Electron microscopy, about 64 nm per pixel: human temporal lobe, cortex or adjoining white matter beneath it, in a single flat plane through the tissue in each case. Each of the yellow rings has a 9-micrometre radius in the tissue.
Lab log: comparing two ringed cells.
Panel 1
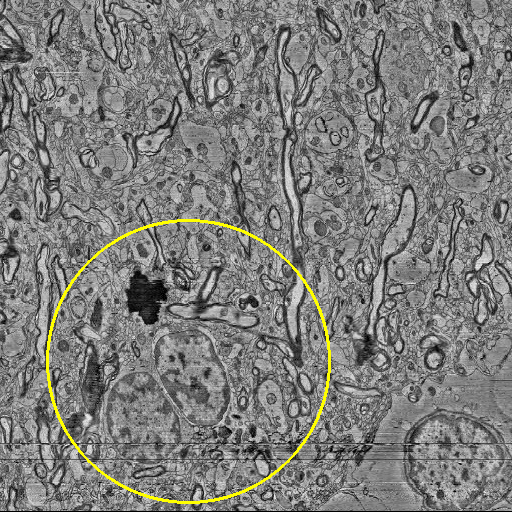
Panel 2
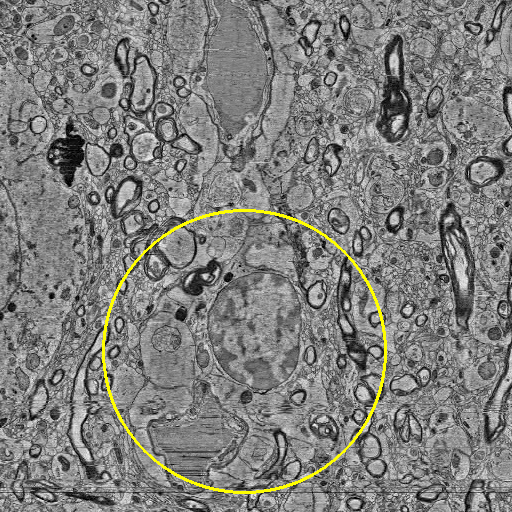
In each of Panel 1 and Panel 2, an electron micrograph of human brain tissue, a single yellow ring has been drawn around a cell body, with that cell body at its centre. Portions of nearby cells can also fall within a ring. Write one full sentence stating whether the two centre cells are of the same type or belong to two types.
The cells at the ring centres in Panel 1 and Panel 2 are of the same type.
